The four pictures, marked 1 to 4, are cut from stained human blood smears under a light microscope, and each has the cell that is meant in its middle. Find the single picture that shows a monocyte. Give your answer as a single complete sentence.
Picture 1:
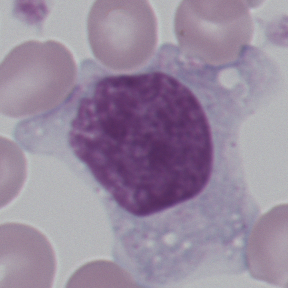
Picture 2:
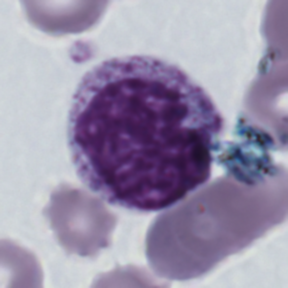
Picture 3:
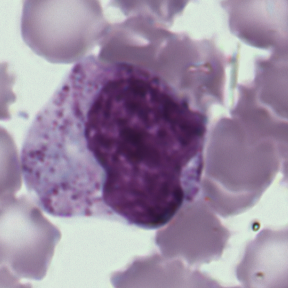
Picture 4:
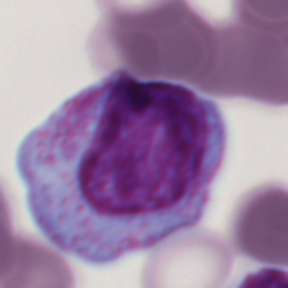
The monocyte is the one in picture 1.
